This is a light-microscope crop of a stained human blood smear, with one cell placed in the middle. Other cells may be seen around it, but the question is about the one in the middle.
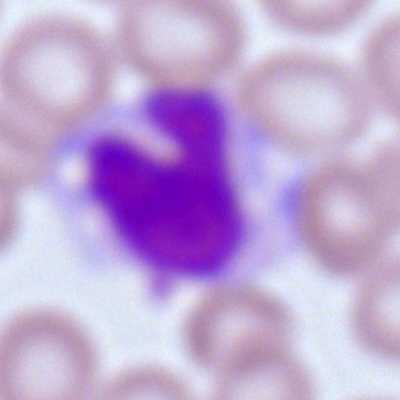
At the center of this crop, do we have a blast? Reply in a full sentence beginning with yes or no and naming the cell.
No, the cell in the middle should be called a monocyte instead of a blast.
